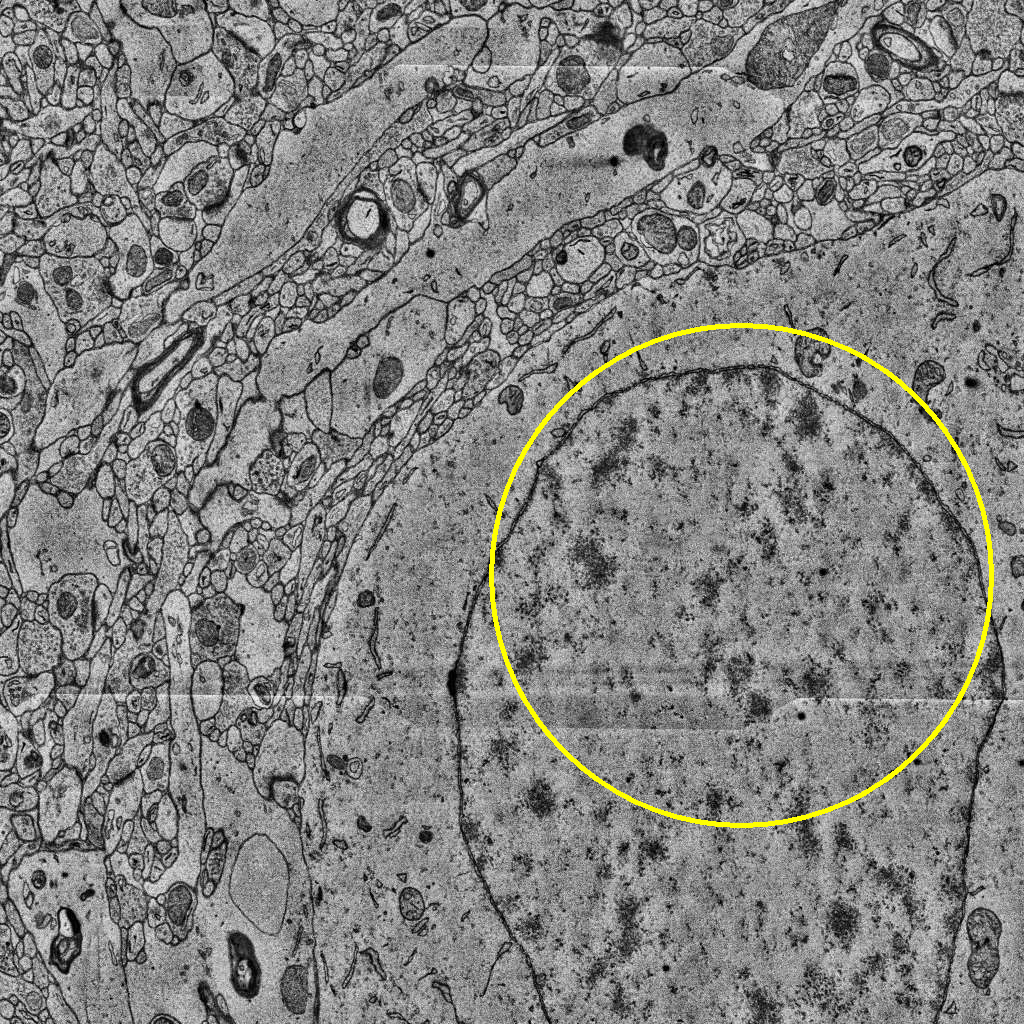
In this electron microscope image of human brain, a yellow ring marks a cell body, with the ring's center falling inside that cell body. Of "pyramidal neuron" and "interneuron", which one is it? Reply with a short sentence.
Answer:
It is a pyramidal neuron at the center of the ring.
